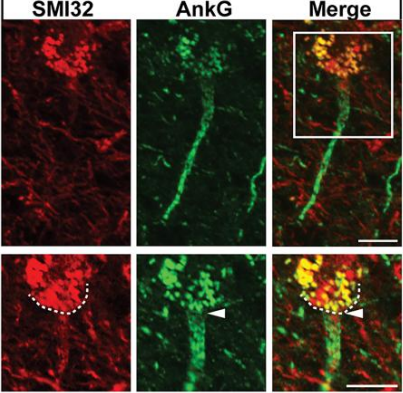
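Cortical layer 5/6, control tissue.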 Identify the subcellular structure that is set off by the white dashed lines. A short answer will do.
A: Soma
